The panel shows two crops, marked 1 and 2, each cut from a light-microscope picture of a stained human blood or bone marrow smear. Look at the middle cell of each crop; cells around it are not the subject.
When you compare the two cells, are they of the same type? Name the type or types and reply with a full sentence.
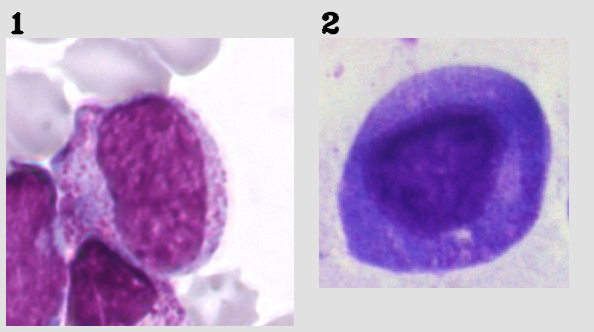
Yes, myelocytes are what the two crops show.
